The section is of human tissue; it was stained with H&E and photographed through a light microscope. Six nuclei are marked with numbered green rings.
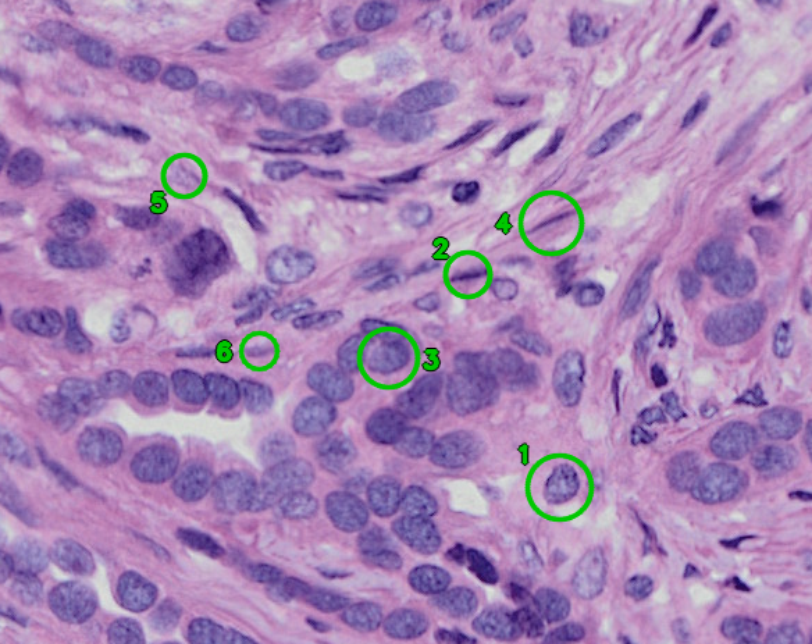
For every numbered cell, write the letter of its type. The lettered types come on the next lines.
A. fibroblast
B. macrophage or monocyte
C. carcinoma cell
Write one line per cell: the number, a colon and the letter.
1: B
2: A
3: C
4: A
5: A
6: A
